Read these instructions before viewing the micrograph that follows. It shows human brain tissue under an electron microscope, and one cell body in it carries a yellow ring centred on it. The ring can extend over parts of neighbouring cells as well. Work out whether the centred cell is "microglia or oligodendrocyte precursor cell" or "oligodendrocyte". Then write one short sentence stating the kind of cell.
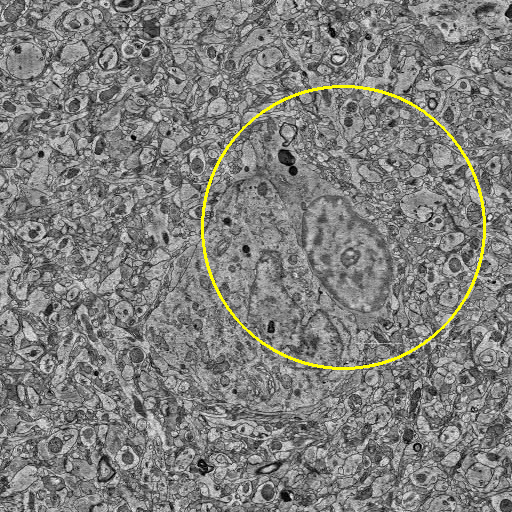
The ringed cell is an oligodendrocyte.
